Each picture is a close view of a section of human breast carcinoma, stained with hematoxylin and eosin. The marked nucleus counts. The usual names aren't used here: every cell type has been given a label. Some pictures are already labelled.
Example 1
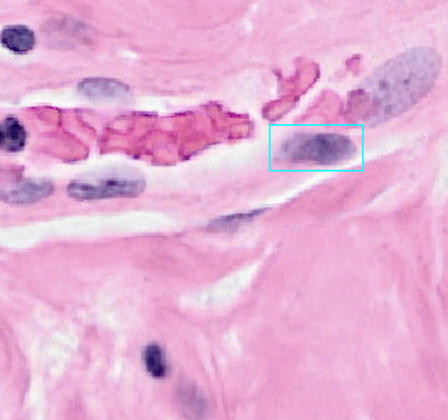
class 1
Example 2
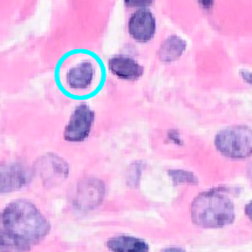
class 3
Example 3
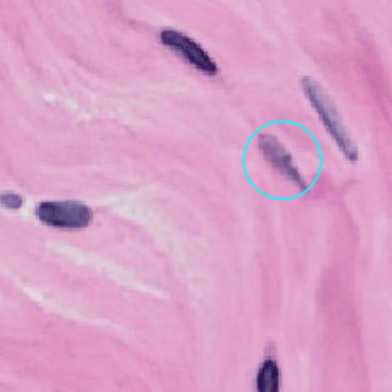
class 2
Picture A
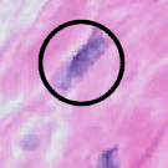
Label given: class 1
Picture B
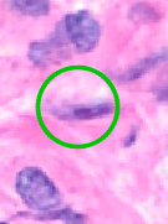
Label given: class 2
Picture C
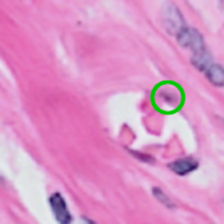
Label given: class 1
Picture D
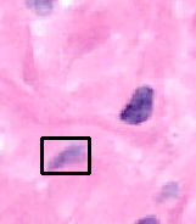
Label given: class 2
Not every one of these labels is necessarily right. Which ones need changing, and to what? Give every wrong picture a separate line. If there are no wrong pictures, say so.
A is labelled class 1; correct label: class 2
